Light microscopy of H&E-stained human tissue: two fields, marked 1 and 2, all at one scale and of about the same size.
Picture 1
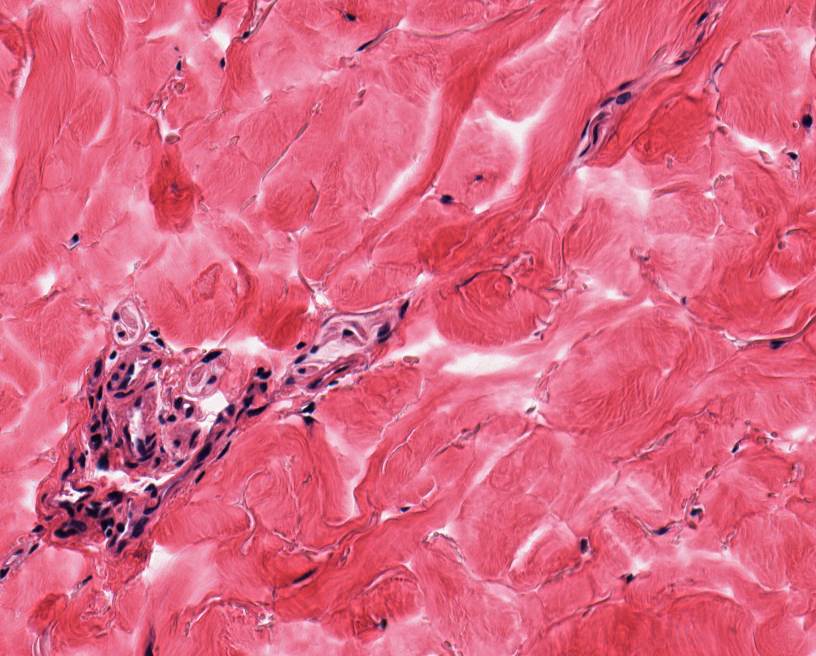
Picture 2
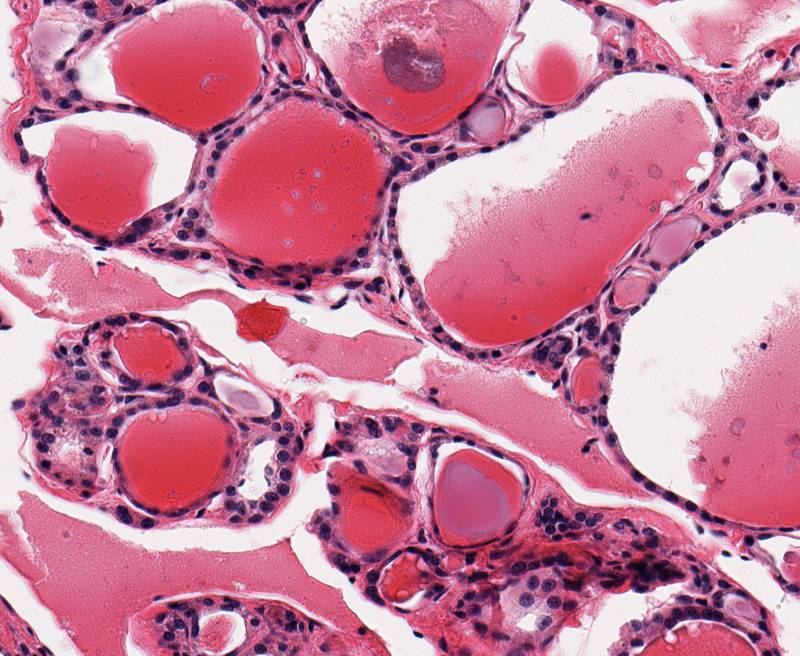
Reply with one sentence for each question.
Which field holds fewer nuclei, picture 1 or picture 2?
There are fewer nuclei in picture 1.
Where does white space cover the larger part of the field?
It is picture 2 in which white space covers the larger part.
